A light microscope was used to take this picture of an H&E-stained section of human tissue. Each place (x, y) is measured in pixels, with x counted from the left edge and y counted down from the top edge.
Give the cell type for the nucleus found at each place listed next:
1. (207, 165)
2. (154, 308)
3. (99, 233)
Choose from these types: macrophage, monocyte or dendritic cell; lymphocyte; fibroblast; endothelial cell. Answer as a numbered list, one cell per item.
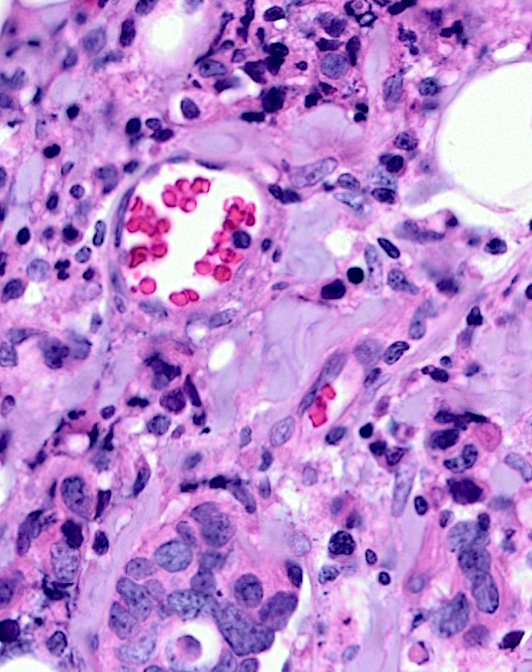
1. endothelial cell
2. endothelial cell
3. lymphocyte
